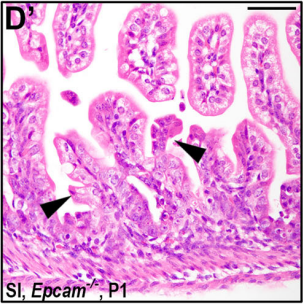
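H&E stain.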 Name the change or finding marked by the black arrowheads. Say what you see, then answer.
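At the arrowheads the epithelial lining is not a single orderly layer. Epithelial cells are heaped into small clusters projecting into the lumen. That points to this answer: epithelial tufting.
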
